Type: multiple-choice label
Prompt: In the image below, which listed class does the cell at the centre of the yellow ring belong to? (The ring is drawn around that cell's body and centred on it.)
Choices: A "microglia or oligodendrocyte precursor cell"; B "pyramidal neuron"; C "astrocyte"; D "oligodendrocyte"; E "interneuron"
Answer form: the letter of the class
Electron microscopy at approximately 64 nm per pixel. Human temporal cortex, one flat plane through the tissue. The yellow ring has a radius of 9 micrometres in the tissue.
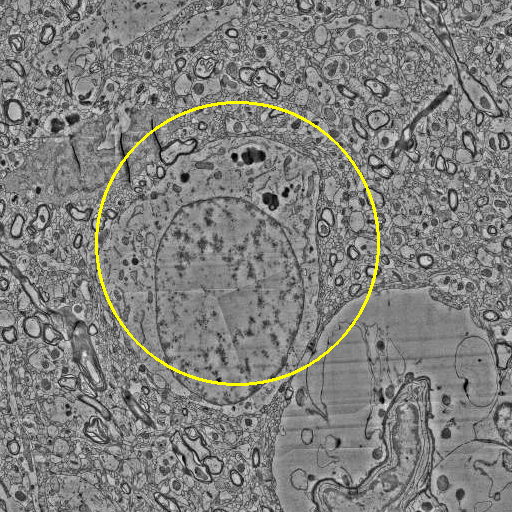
B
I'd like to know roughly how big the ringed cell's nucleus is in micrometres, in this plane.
Approximately 13 x 10 micrometres in this plane.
